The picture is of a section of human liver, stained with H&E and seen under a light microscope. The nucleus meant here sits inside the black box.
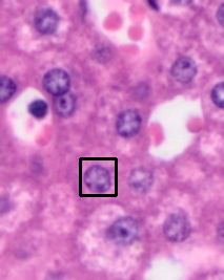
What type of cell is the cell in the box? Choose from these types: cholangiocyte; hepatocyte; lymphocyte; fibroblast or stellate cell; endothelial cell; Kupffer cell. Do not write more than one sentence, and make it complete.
In this preparation, the cell in the box is a hepatocyte.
